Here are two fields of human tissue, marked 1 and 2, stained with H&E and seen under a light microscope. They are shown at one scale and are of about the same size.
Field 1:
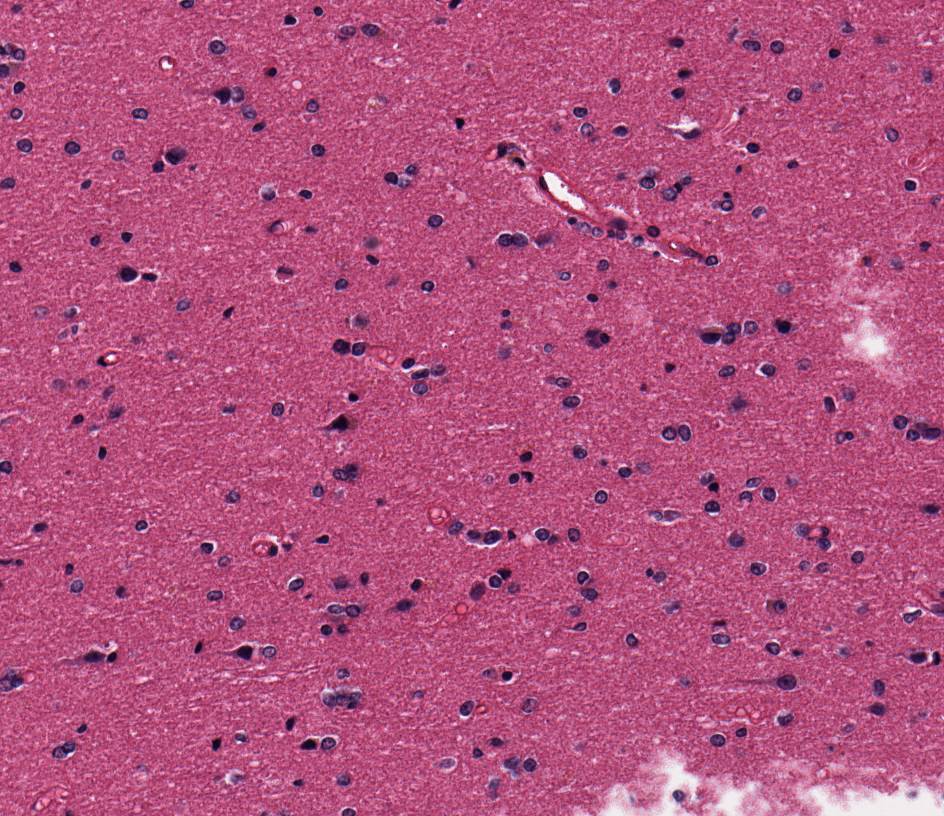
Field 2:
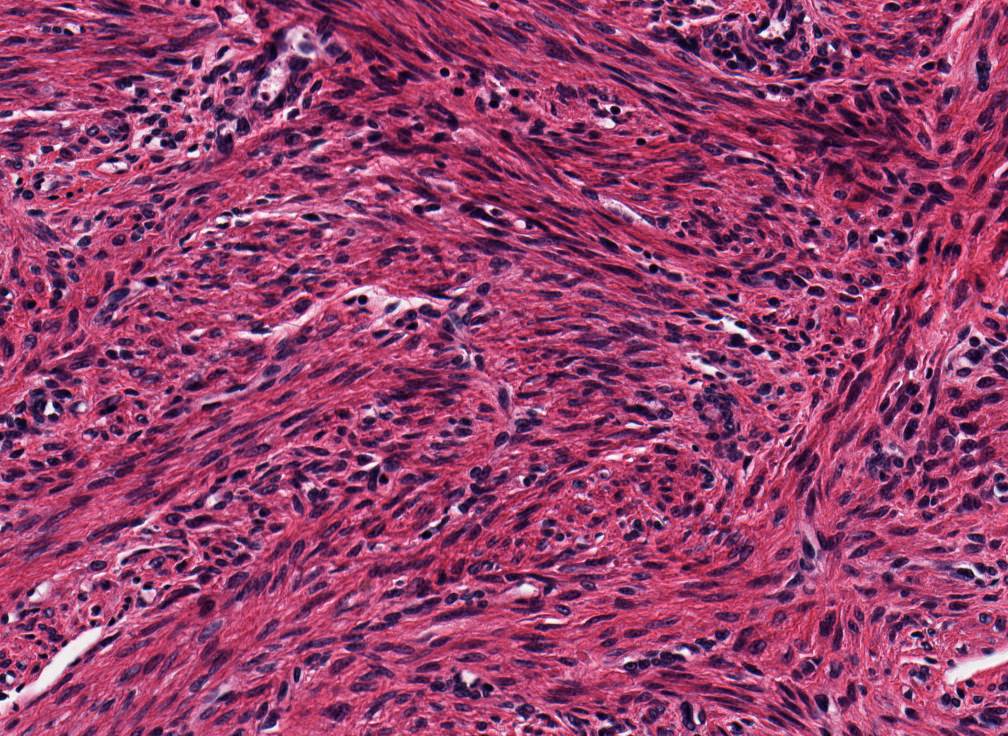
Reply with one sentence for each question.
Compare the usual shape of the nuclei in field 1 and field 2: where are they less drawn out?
The nuclei are rounder in field 1.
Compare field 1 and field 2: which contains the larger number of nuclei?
The larger number of nuclei is in field 2.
